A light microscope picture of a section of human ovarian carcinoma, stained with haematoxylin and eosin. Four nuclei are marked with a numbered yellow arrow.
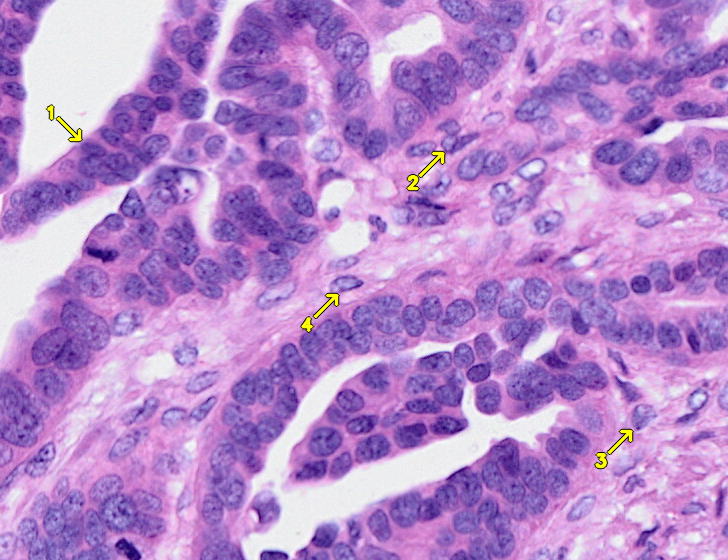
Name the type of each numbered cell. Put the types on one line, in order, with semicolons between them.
carcinoma cell; fibroblast; fibroblast; fibroblast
